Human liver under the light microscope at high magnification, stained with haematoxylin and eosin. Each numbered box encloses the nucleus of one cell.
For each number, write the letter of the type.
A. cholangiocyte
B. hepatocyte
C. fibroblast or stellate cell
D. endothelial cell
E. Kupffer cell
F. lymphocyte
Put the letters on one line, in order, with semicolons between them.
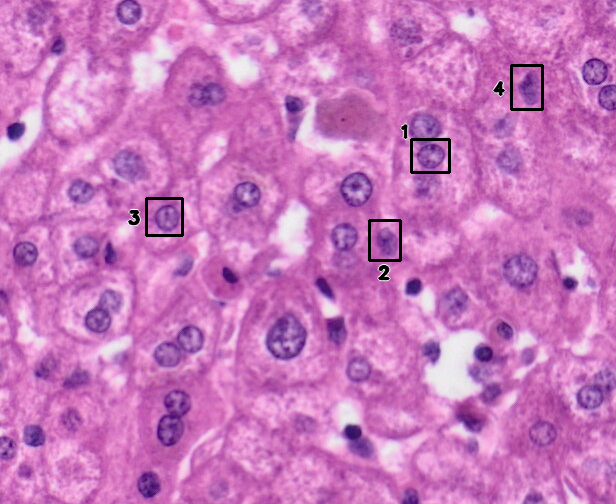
B; D; B; D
